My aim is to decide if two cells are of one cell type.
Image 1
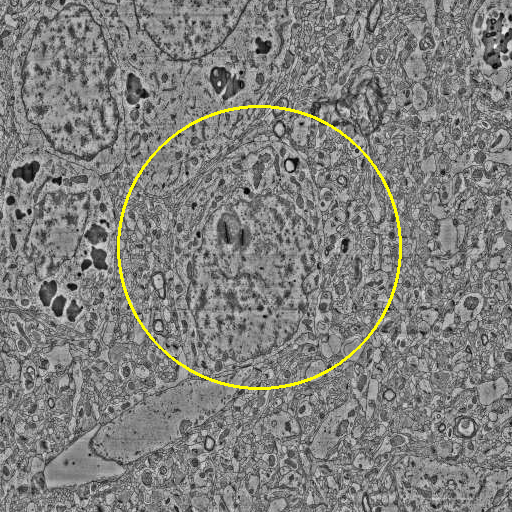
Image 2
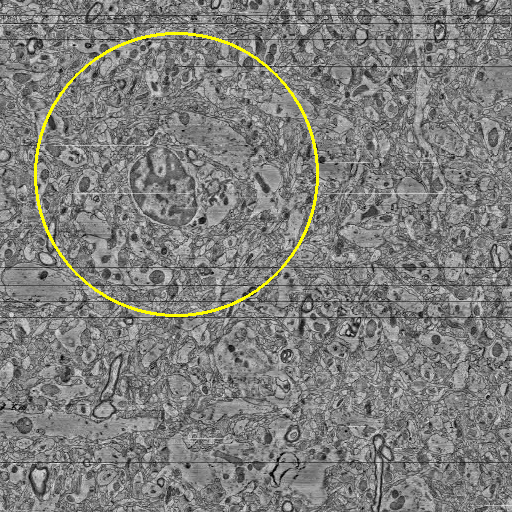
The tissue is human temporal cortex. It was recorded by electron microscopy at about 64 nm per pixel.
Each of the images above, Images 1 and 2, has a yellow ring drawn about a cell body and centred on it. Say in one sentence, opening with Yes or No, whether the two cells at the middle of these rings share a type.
No, in Images 1 and 2 the cells at the middle of the rings fall into two types.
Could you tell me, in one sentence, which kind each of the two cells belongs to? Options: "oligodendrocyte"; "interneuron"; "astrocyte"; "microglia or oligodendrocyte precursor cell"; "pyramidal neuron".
At the centre of the first ring sits an interneuron, and at the centre of the second sits a microglial cell or oligodendrocyte precursor cell.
